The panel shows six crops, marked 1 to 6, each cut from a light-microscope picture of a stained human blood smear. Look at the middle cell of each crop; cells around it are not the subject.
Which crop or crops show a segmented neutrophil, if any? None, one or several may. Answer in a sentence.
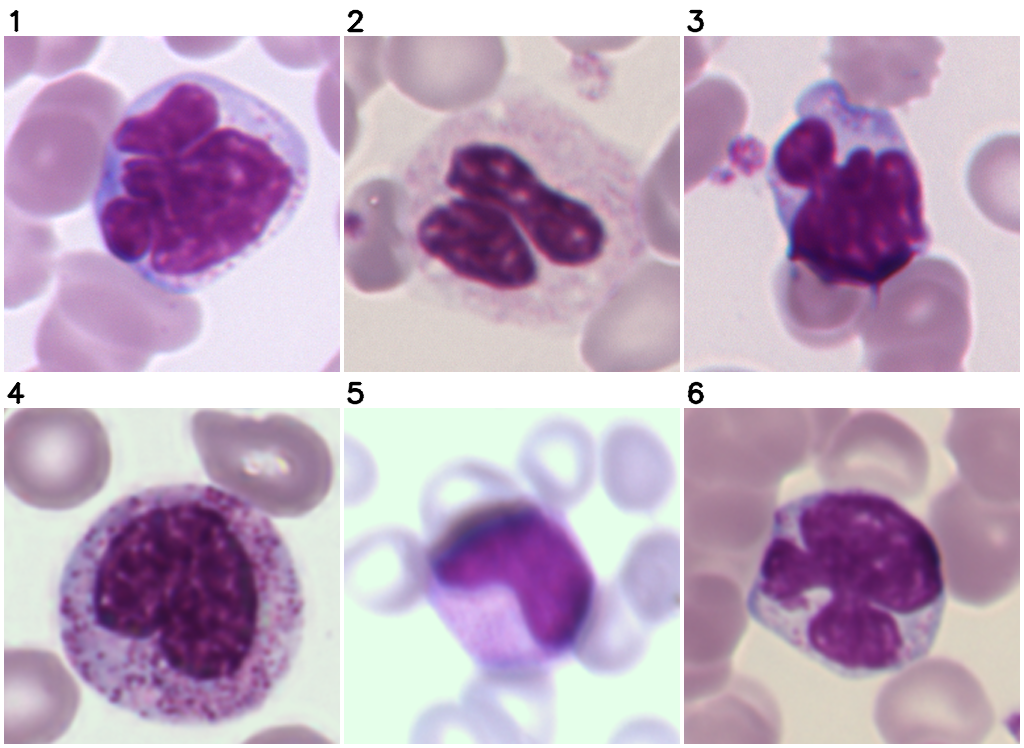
The set contains a single crop with a segmented neutrophil, and it is crop 2.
